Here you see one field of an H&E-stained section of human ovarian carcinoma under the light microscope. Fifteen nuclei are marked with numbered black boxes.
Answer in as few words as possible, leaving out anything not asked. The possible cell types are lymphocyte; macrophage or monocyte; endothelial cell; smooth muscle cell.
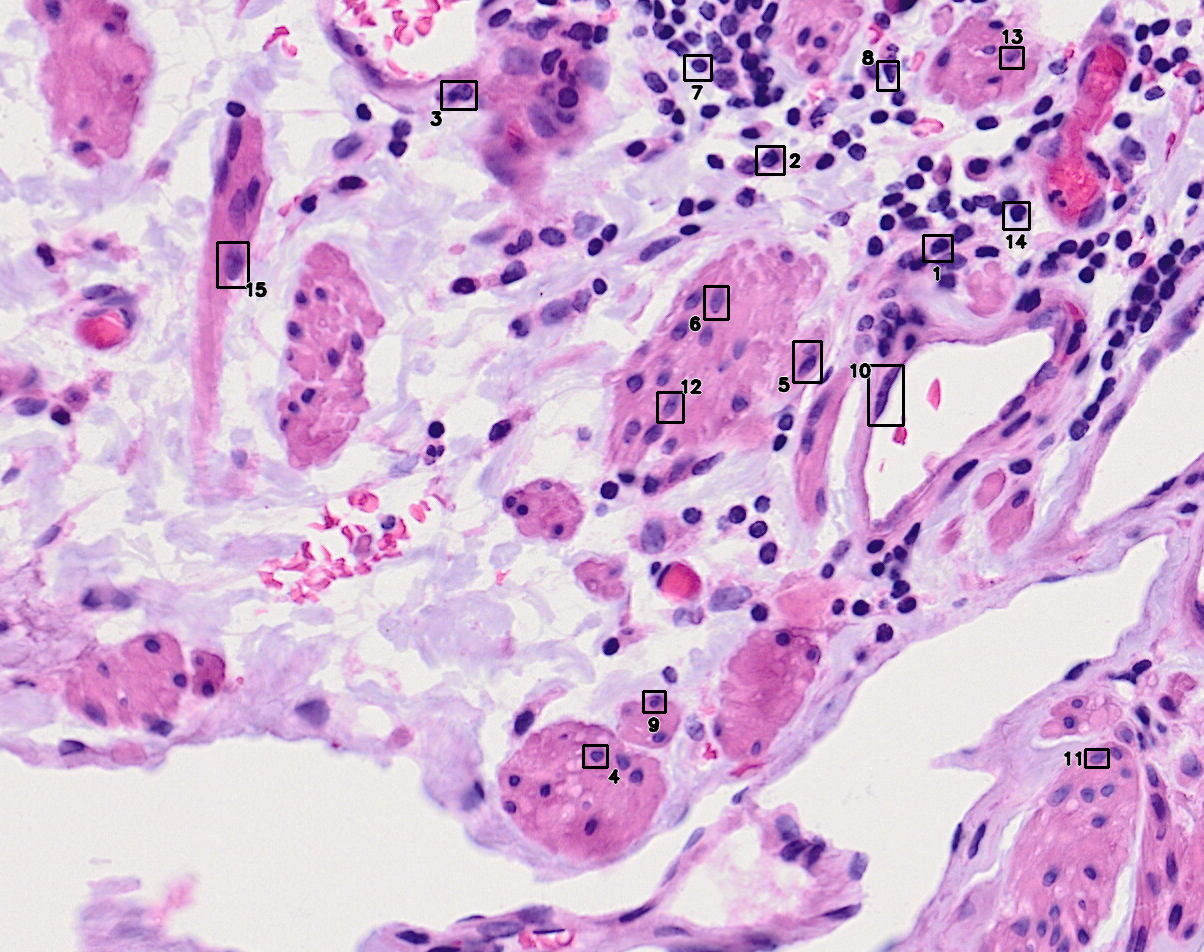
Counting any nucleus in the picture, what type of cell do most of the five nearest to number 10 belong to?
lymphocyte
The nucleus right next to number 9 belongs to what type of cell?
lymphocyte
